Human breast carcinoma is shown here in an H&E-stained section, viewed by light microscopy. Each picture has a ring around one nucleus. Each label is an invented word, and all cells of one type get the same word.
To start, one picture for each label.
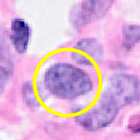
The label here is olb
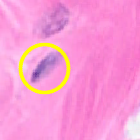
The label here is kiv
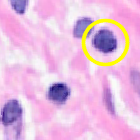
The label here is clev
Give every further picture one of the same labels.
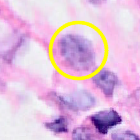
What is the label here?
olb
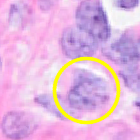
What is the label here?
olb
